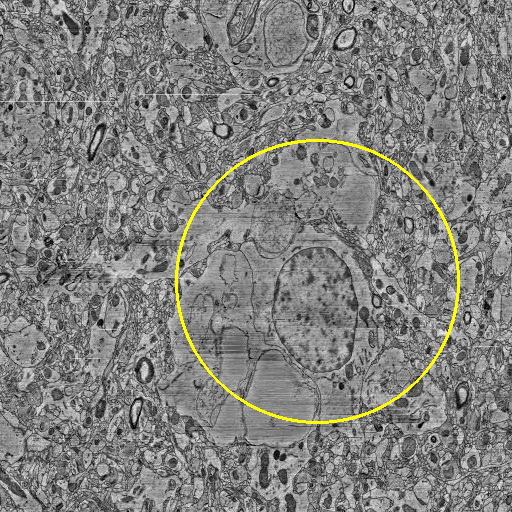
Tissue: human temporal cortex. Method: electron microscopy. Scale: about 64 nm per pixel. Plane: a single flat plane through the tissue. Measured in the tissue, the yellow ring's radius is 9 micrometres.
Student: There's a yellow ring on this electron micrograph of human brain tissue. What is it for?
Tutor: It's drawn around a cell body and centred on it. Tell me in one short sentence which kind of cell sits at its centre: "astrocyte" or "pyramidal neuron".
The cell at the centre of the ring is an astrocyte.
